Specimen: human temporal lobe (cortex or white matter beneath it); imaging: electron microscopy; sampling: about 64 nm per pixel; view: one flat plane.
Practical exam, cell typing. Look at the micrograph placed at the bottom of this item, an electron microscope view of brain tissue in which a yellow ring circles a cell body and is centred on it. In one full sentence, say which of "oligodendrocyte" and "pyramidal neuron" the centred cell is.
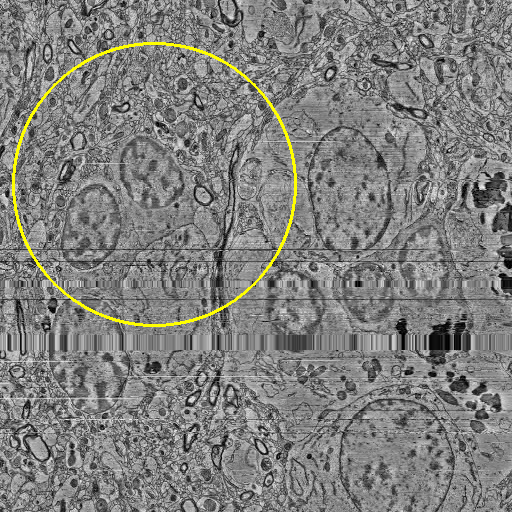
Given the options, an oligodendrocyte fits the cell whose body the yellow ring is centred on.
